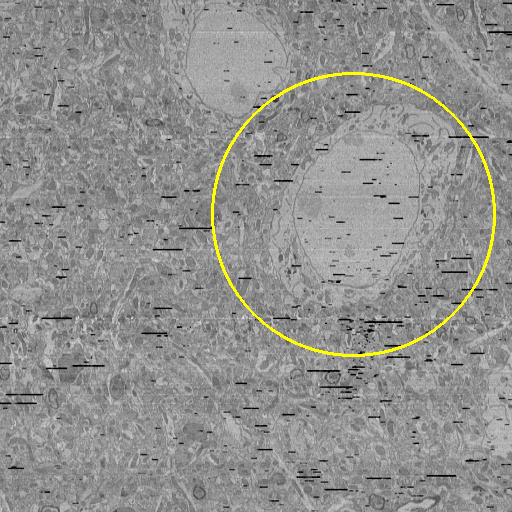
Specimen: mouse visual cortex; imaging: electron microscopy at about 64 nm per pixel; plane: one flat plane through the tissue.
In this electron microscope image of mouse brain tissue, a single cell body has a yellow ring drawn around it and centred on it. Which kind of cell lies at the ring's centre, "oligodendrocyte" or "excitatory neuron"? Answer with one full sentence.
It is an excitatory neuron whose cell body lies at the centre of the yellow ring here.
